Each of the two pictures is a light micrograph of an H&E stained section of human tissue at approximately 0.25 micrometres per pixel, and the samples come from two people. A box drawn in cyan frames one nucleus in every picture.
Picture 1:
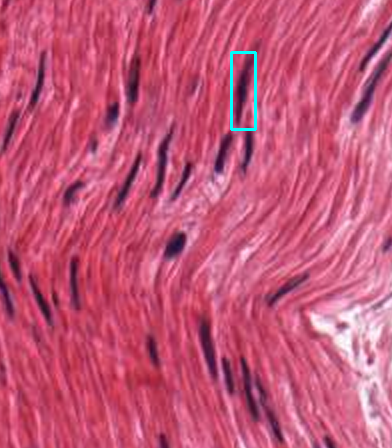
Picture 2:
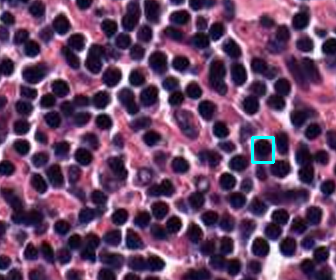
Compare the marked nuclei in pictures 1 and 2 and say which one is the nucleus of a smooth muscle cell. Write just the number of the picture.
1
